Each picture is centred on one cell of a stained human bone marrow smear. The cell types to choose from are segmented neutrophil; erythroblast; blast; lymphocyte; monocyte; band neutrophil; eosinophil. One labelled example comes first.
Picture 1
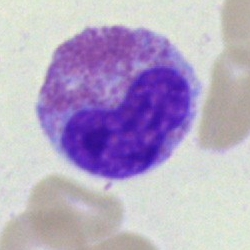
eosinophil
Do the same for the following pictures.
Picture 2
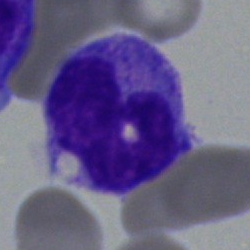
monocyte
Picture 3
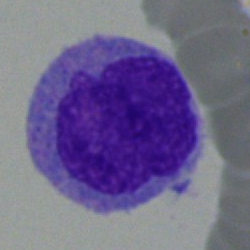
monocyte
